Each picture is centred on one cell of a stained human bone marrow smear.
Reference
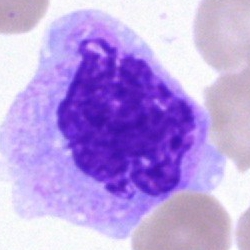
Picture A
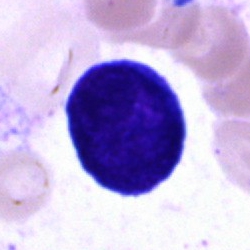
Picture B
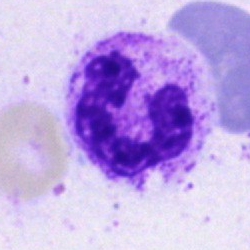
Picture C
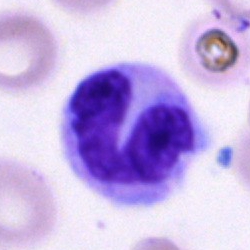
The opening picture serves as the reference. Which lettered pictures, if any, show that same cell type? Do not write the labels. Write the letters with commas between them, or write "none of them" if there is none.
C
